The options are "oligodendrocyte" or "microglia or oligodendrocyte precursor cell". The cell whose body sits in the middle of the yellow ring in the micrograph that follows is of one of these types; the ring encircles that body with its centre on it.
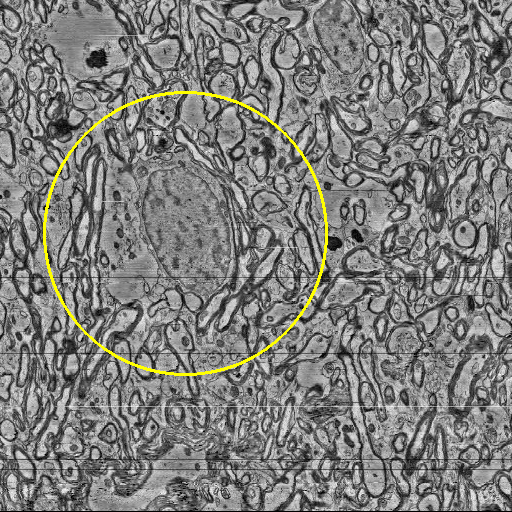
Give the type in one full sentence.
Going by the micrograph, the cell centred in the yellow ring is an oligodendrocyte.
